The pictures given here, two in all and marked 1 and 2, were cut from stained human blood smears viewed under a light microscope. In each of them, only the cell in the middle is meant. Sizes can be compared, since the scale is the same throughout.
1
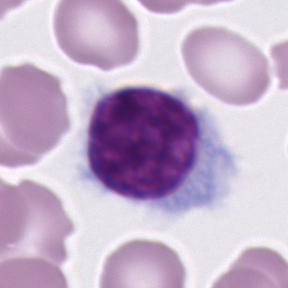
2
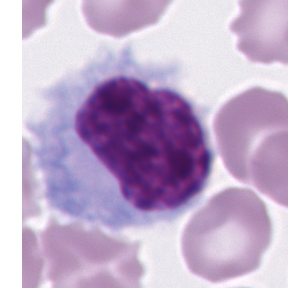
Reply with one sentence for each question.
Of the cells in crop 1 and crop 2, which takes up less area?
It is the cell in crop 1; the cell in crop 2 has about 1.5 times its area.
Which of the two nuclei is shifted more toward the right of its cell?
It is the nucleus in crop 2 that lies further toward the right of its cell.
